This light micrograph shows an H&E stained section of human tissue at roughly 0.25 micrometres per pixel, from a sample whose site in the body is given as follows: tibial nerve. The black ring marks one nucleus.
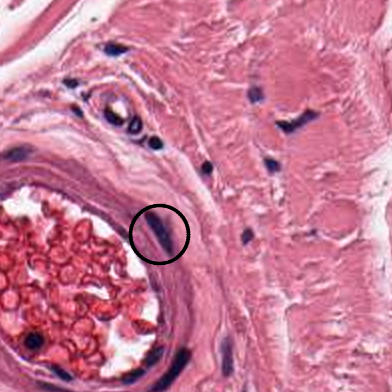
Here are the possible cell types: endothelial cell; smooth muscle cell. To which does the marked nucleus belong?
smooth muscle cell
